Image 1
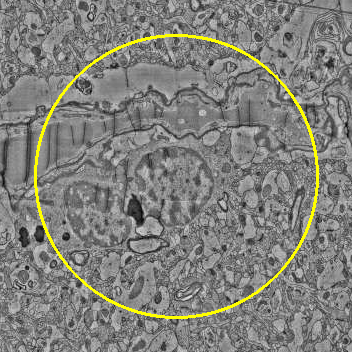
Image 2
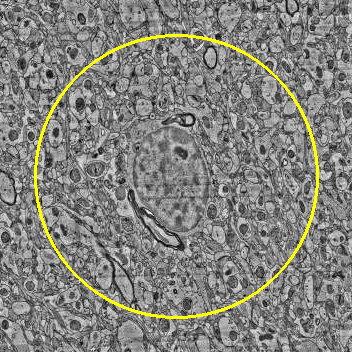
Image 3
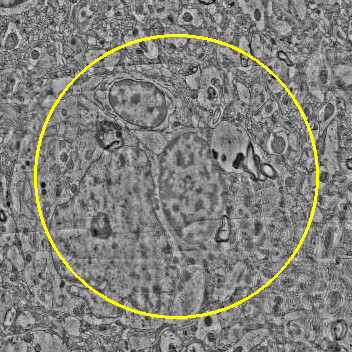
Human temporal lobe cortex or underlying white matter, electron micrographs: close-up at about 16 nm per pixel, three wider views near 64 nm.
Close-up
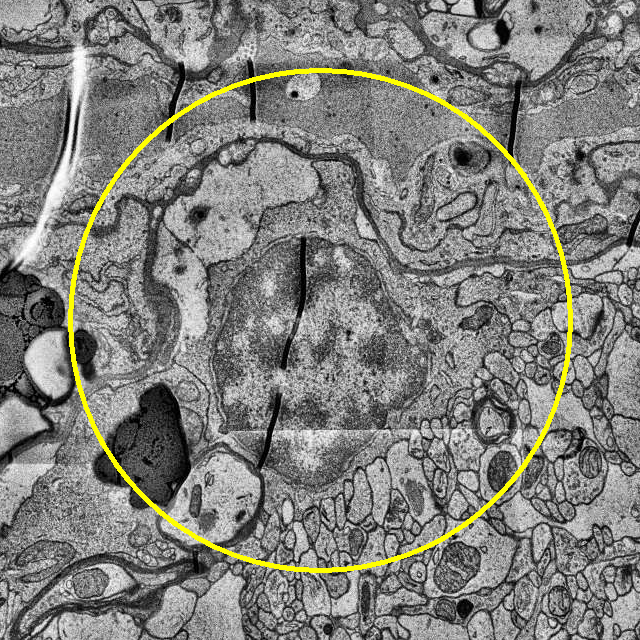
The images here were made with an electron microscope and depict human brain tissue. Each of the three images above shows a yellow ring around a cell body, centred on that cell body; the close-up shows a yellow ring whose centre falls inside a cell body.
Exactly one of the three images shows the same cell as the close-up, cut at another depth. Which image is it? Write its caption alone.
Image 1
